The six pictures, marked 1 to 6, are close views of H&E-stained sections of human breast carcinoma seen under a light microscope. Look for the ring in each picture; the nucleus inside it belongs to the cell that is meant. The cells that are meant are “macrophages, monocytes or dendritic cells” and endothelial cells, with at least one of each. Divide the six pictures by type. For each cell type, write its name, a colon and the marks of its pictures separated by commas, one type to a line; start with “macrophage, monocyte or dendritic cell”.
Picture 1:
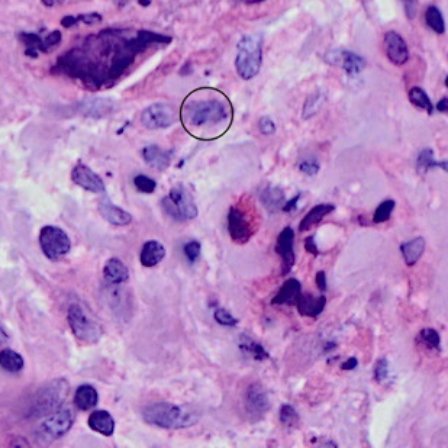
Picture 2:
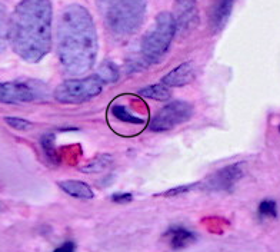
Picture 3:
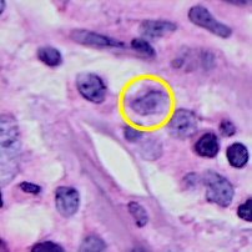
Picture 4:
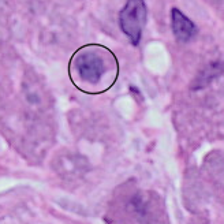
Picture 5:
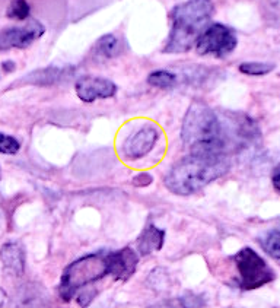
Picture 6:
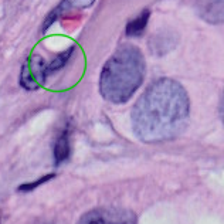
macrophage, monocyte or dendritic cell: 1, 3, 4, 5
endothelial cell: 2, 6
